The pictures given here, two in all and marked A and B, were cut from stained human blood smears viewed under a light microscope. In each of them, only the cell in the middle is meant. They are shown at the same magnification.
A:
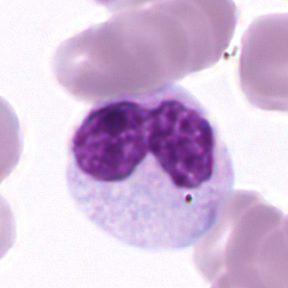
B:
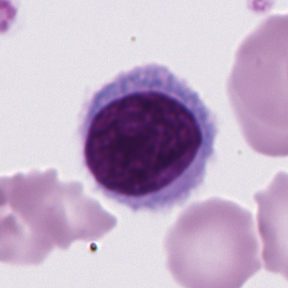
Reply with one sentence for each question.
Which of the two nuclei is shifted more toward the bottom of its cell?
It is the nucleus in crop B that lies further toward the bottom of its cell.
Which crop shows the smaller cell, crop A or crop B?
The cell in crop B is smaller; the one in crop A has about 1.5 times its area.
